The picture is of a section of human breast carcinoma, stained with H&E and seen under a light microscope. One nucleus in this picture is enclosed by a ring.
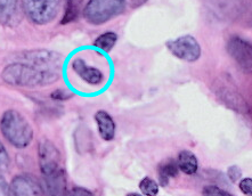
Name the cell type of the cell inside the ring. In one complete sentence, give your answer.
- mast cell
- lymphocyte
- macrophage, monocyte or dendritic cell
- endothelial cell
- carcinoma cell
With respect to cell type, the cell inside the ring is a lymphocyte.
